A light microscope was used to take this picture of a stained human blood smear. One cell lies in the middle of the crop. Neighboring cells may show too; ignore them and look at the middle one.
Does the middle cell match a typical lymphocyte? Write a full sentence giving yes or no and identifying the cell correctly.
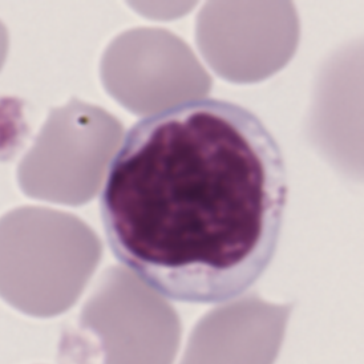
No, in the centre of the crop lies a large granular lymphocyte, not a typical lymphocyte.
